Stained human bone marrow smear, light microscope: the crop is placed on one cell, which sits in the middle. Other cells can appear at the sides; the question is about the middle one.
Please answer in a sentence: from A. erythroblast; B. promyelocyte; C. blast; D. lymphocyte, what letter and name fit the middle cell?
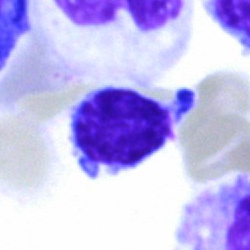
Option D is the keyed answer: the cell in the middle is a lymphocyte.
